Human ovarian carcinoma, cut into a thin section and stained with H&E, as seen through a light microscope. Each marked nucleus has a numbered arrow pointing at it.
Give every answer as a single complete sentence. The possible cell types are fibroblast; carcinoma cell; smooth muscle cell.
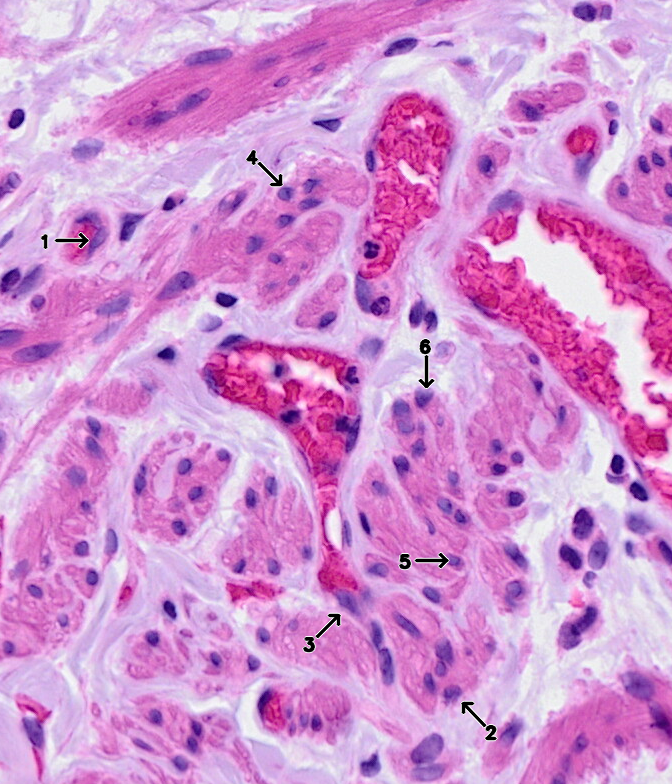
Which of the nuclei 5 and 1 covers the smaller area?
Nucleus 5 is the smaller one; nucleus 1 covers about 2.5 times its area.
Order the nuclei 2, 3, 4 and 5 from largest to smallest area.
The nuclei rank 3, 2, 4, 5, from largest to smallest.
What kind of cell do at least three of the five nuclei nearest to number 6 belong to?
Smooth muscle cells account for more than half of the five nuclei nearest to number 6.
